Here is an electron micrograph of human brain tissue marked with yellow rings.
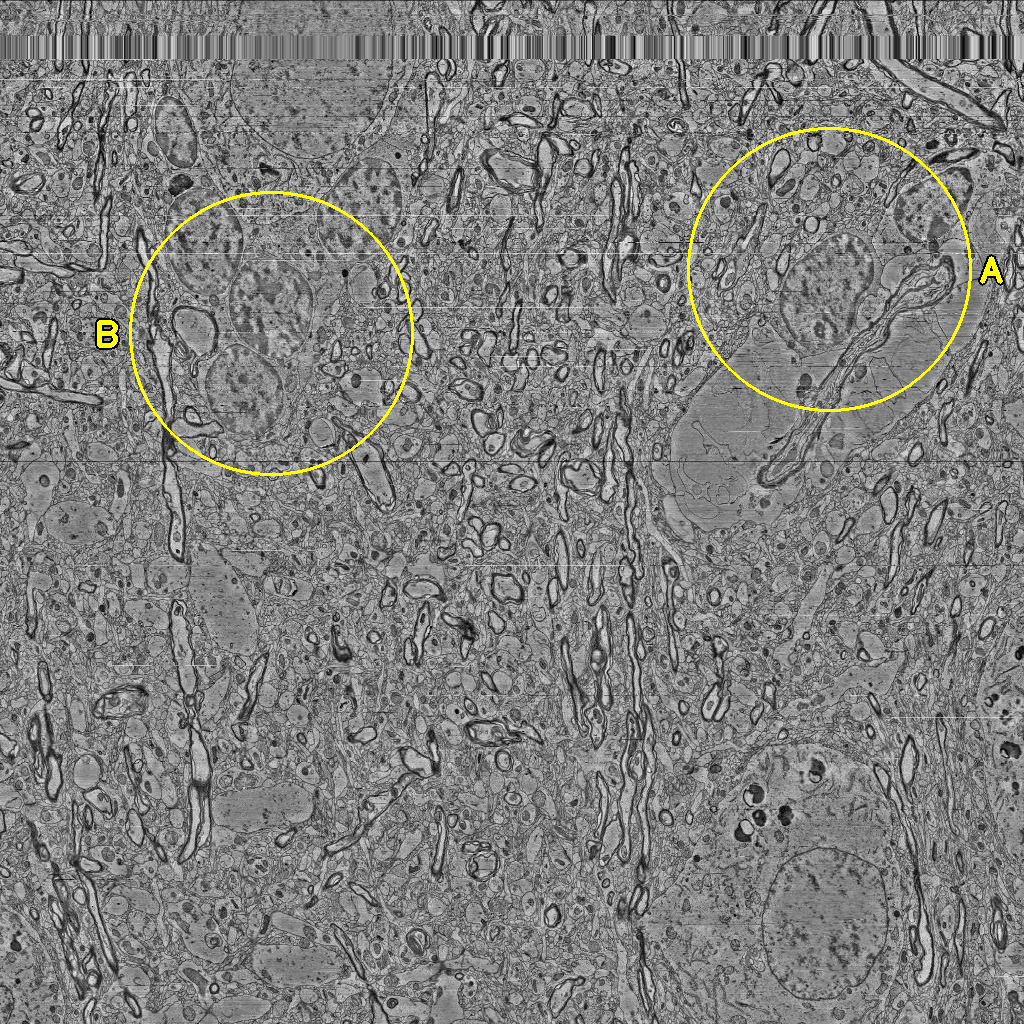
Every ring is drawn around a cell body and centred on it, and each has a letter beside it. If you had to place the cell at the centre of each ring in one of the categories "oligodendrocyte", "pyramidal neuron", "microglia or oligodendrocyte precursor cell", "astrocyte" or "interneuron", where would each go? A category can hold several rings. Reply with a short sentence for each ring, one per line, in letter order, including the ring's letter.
The centre of ring A holds an oligodendrocyte.
The centre of ring B holds an oligodendrocyte.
